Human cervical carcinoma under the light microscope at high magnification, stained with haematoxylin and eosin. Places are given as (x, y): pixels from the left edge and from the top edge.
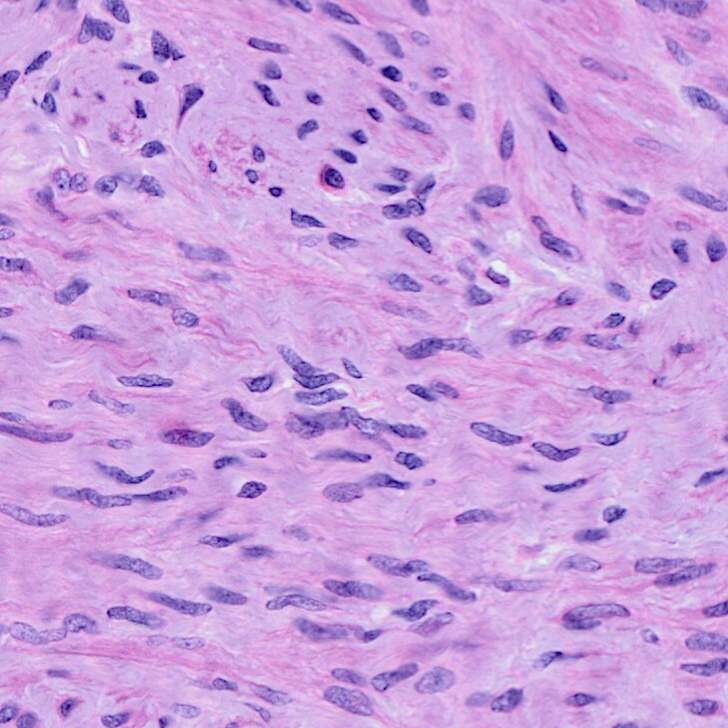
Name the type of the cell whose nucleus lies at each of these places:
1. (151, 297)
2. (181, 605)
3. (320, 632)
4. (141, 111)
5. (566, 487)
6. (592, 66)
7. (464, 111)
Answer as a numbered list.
1. smooth muscle cell
2. fibroblast
3. smooth muscle cell
4. fibroblast
5. fibroblast
6. smooth muscle cell
7. smooth muscle cell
